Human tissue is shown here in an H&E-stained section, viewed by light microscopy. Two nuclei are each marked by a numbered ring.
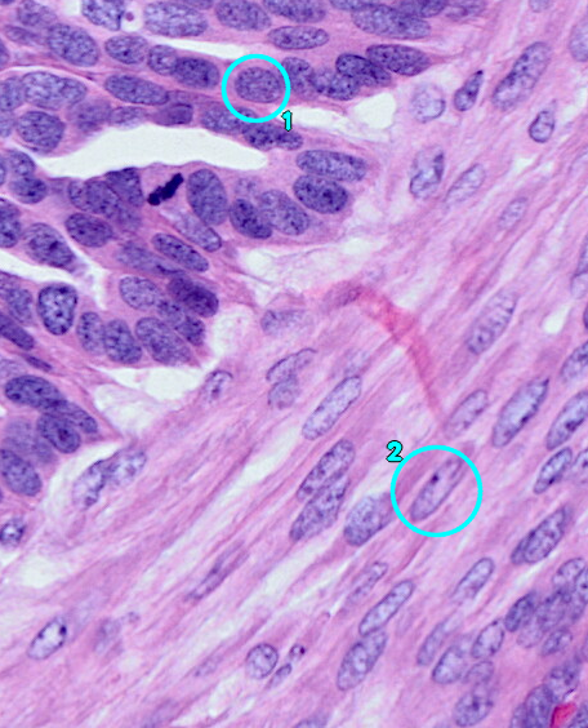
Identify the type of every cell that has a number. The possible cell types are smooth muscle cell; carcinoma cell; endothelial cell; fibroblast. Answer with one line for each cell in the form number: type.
1: carcinoma cell
2: fibroblast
